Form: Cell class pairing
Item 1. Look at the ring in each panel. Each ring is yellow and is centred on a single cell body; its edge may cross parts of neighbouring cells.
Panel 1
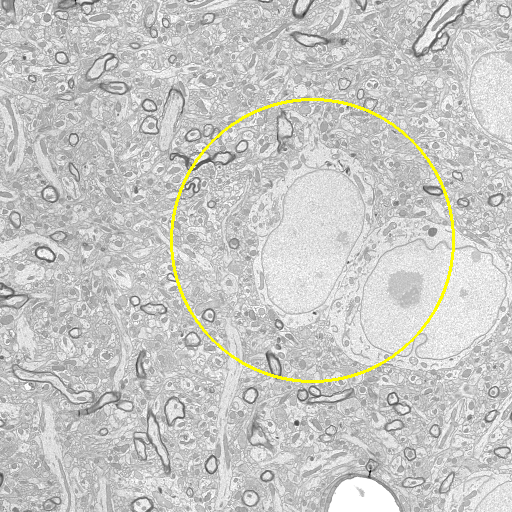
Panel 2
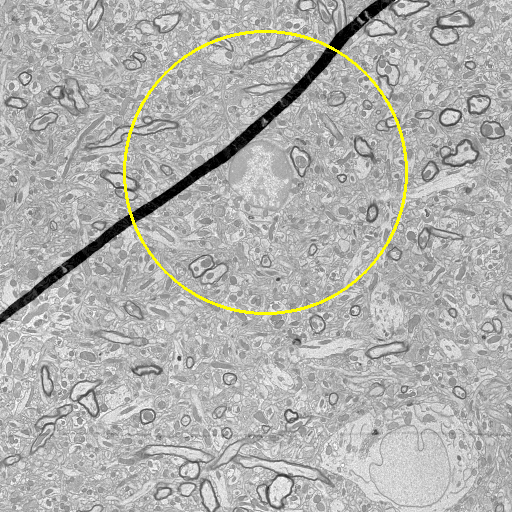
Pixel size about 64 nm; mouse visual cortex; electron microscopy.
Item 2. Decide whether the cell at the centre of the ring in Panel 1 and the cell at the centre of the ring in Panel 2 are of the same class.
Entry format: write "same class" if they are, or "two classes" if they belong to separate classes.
two classes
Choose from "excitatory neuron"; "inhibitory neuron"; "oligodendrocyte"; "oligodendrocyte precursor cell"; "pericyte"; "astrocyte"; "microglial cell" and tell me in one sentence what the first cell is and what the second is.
What the first ring is centred on is an excitatory neuron; what the second ring is centred on is an oligodendrocyte.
